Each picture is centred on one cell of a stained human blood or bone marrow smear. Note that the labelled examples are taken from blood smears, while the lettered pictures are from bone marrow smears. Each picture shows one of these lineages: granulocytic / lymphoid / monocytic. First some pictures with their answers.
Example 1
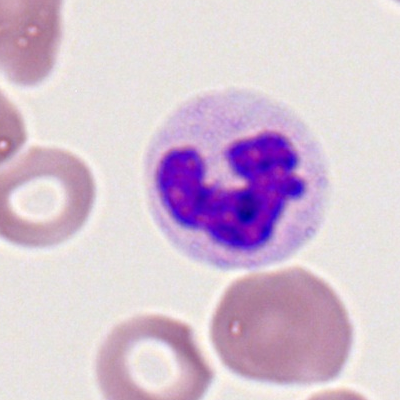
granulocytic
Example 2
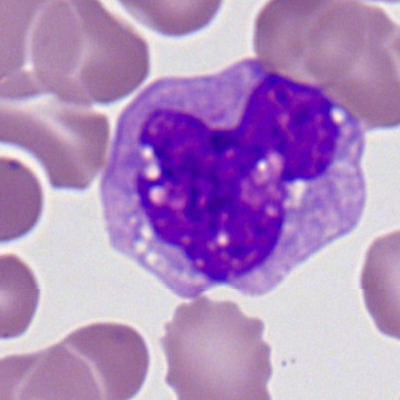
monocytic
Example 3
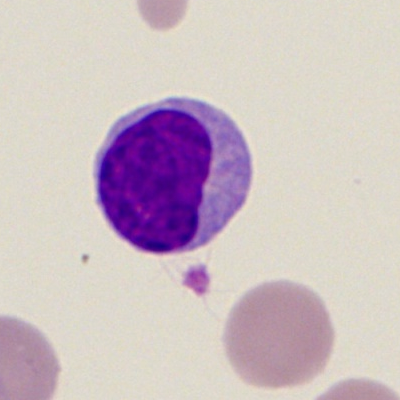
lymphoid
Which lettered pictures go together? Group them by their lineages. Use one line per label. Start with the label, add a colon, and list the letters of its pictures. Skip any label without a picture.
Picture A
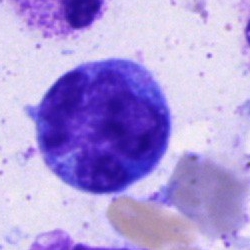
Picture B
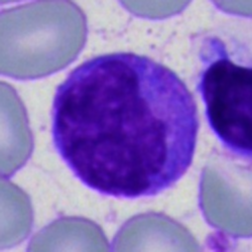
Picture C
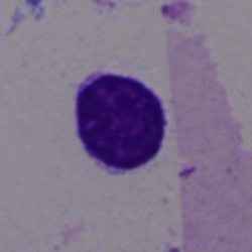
lymphoid: C
monocytic: A, B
